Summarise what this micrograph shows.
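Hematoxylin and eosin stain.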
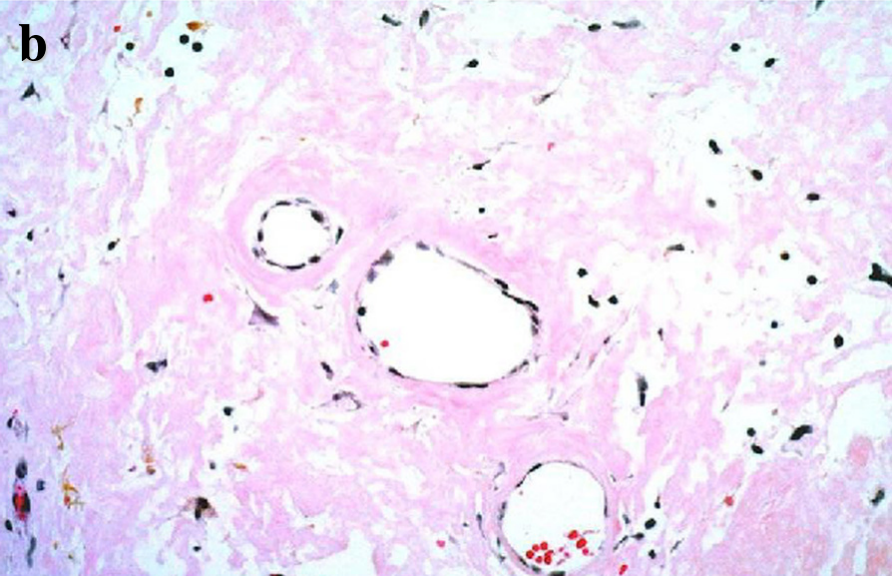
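At higher magnification the field is filled with pale pink, fluffy and structureless material in which only scattered dark nuclei lie. Three small thin-walled vessels lined by flattened cells are seen, a few red blood cells lying in the lower one. Each vessel is surrounded by a cuff of denser pink material merging with the surrounding deposit. A few cells with golden-brown granular content are seen at the left edge. The pink material is an extracellular amorphous eosinophilic deposit.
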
